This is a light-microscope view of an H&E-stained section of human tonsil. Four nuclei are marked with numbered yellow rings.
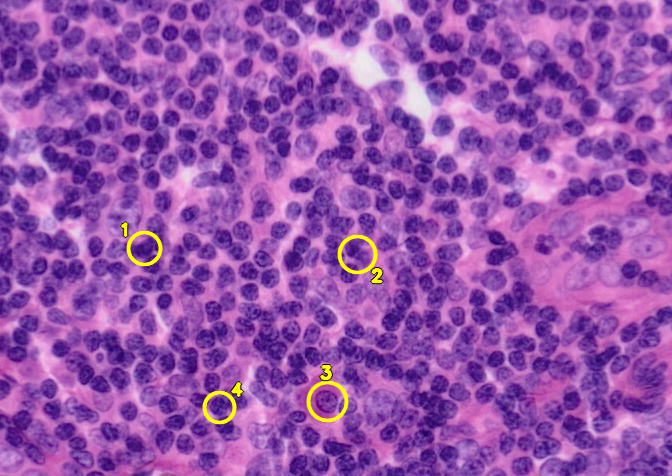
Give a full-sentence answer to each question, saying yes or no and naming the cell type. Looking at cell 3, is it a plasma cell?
Yes, the cell that is numbered 3 is a plasma cell.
